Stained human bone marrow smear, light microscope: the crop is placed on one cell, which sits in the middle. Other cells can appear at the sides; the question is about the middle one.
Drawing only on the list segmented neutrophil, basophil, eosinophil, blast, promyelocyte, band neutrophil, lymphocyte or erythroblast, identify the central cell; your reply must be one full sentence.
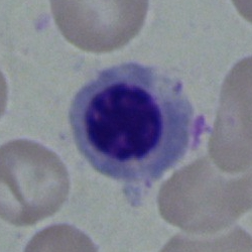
Answering briefly, the cell in the middle is an erythroblast.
